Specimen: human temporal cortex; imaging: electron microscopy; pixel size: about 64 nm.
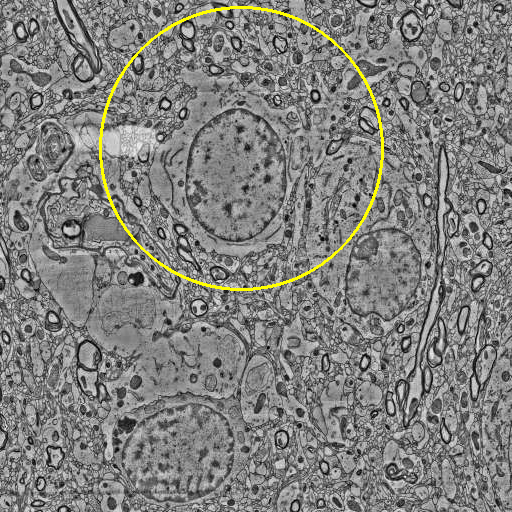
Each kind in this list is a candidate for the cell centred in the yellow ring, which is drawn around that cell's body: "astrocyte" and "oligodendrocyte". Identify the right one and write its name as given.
astrocyte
